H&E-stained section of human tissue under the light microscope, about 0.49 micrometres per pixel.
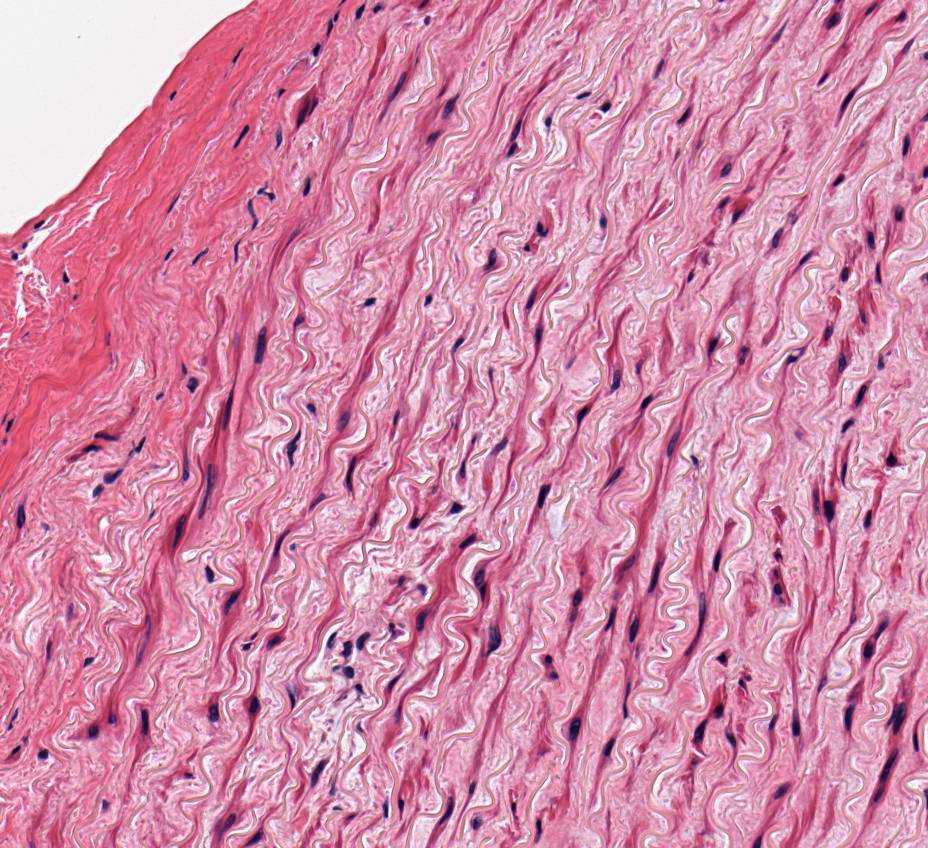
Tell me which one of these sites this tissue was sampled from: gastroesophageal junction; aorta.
aorta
